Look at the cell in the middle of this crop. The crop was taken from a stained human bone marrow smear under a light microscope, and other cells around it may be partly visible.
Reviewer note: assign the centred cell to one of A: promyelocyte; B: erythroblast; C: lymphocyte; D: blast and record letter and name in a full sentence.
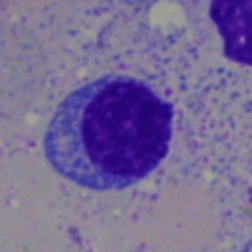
In this crop the central cell is a lymphocyte, which option C correctly states.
